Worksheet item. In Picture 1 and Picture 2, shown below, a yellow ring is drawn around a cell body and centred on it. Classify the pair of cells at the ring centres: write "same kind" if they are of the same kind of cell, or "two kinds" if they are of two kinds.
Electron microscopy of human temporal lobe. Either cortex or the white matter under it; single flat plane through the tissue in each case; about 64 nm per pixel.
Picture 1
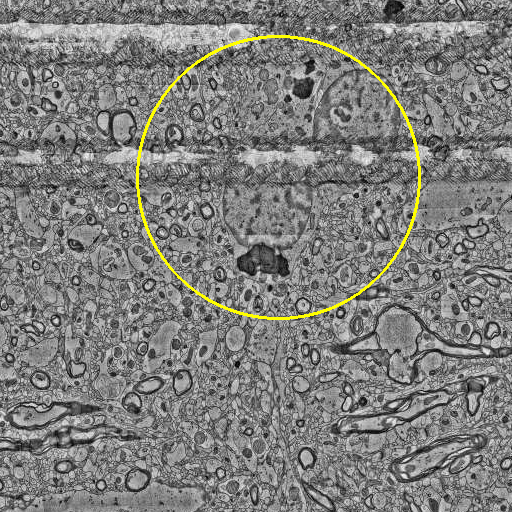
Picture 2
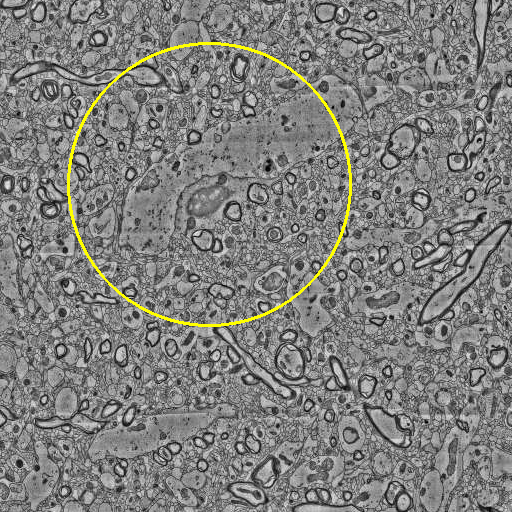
same kind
